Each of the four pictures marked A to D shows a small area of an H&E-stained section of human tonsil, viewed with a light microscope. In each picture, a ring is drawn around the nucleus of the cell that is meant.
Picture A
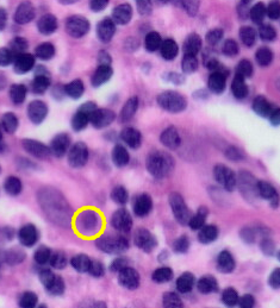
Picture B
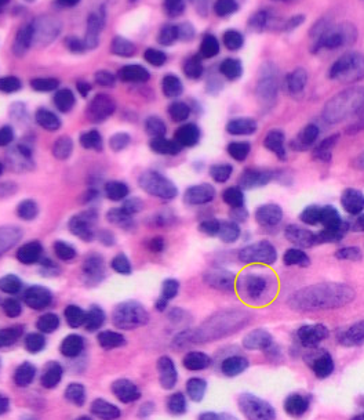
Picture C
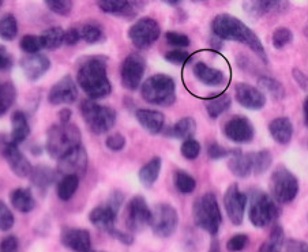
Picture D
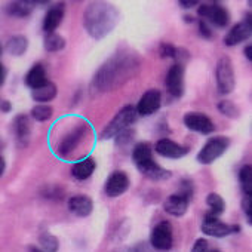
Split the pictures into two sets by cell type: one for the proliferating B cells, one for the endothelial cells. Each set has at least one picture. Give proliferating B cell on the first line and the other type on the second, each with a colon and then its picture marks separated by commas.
proliferating B cell: C
endothelial cell: A, B, D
